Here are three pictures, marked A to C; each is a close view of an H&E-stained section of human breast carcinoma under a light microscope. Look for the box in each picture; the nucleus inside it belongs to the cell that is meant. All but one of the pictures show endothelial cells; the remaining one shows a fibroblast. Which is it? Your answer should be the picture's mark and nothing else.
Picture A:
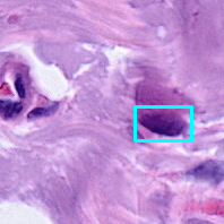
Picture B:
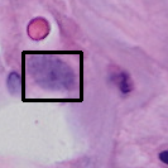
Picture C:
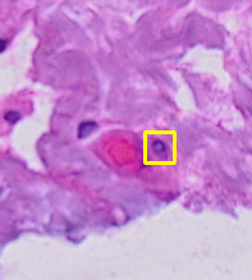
A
